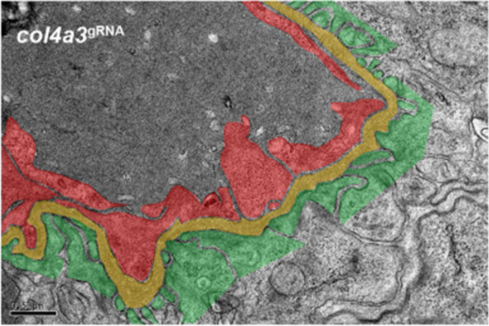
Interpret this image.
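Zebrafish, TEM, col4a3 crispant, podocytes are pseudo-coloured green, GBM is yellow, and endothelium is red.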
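This electron micrograph shows a glomerular filtration barrier in which the layers look disordered. The lumen at the upper left has a granular texture. Surrounding cytoplasm holds membranes and organelles.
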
